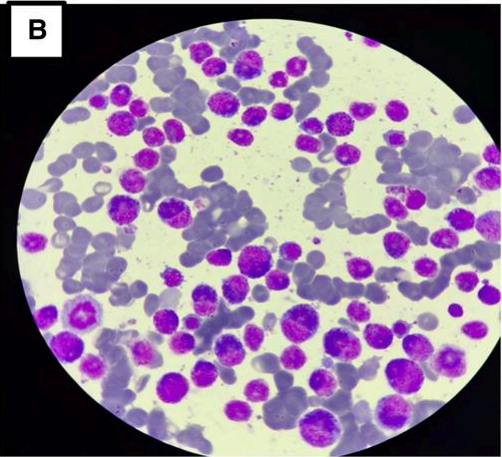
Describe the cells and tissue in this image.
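This bone marrow smear shows numerous precursors of the eosinophilic lineage scattered among clumped red blood cells. The nucleated cells are round and of varying size, many larger than the red blood cells. The red blood cells appear pale grey-lilac and lie in overlapping clusters between the nucleated cells.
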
